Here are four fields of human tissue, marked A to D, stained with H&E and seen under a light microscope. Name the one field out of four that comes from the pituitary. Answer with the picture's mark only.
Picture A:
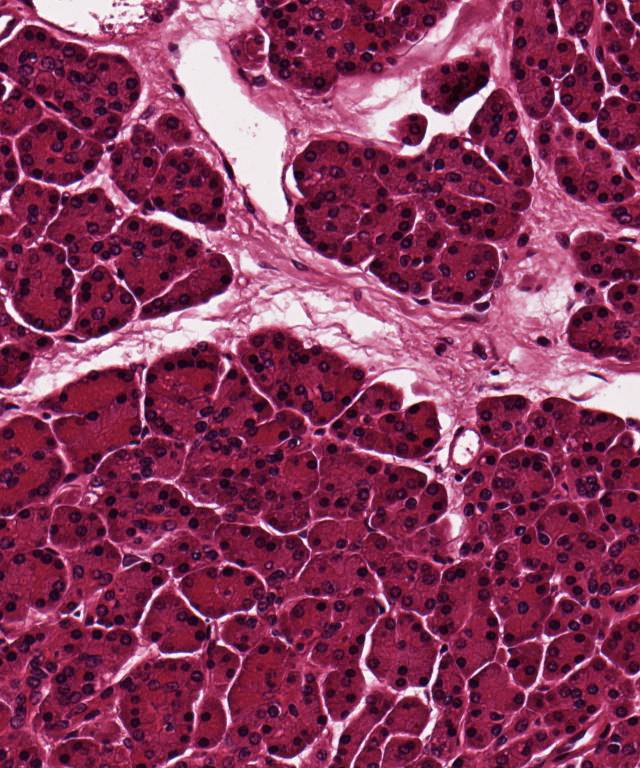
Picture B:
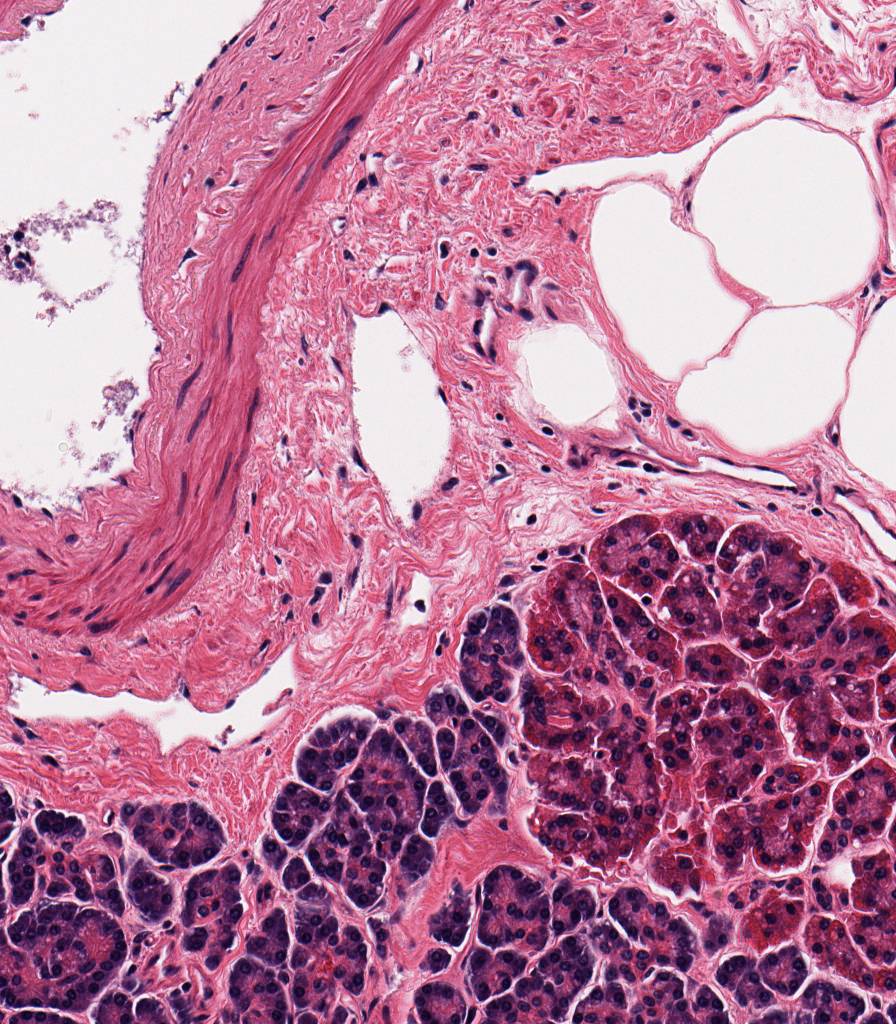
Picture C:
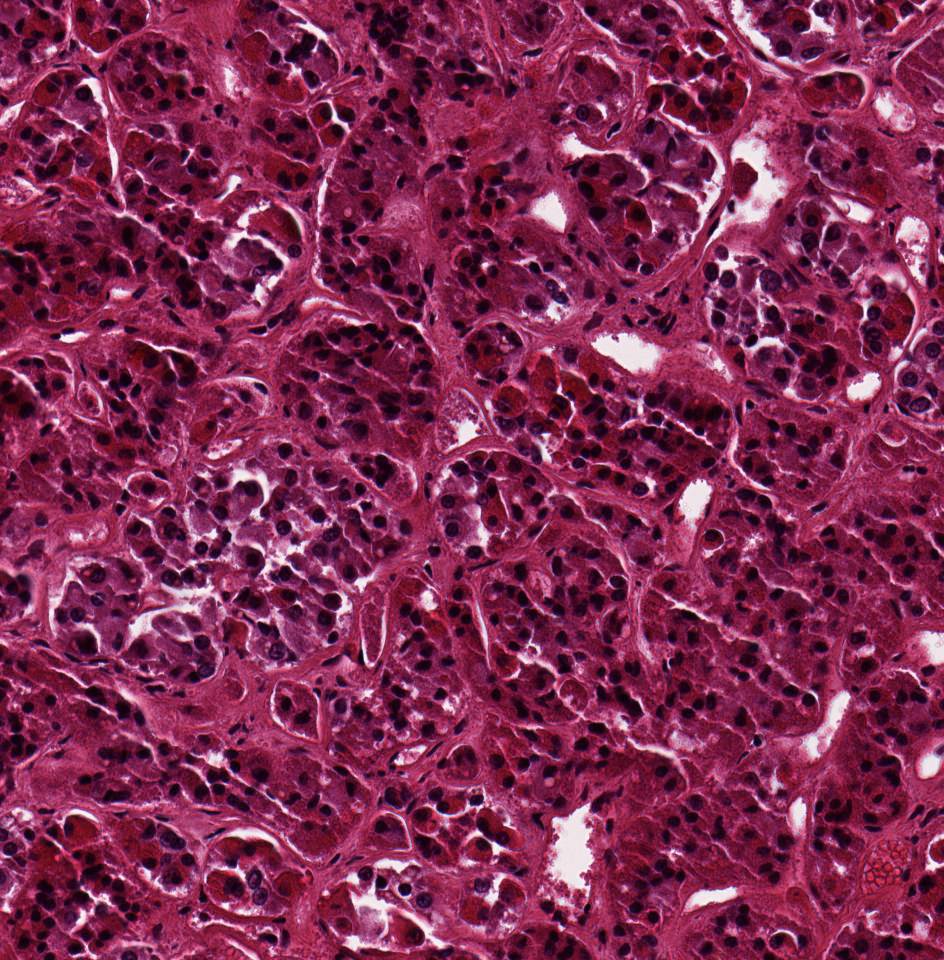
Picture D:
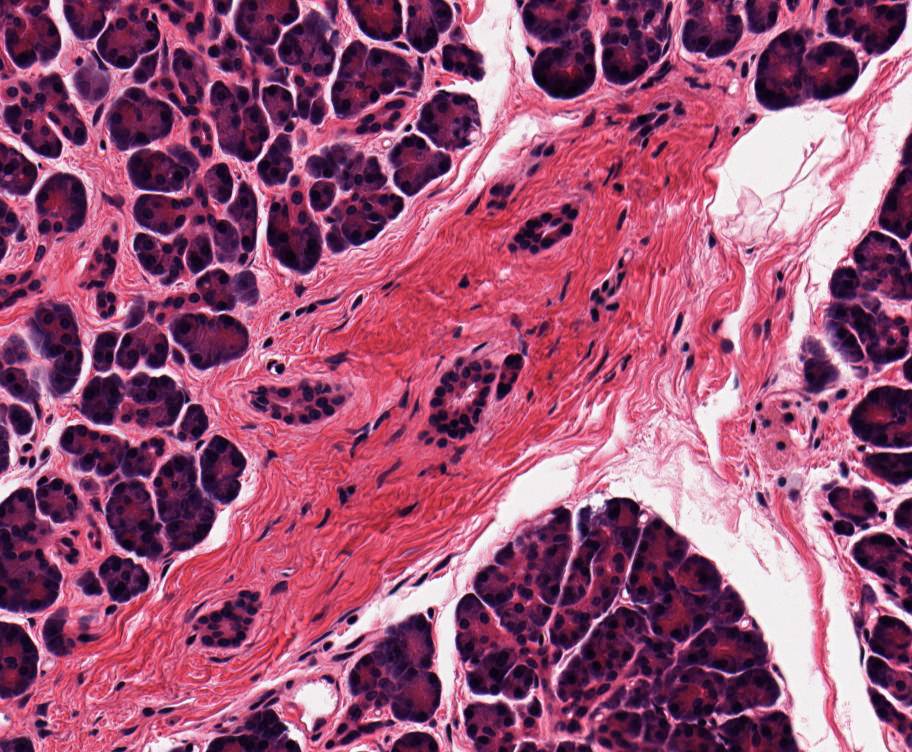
C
